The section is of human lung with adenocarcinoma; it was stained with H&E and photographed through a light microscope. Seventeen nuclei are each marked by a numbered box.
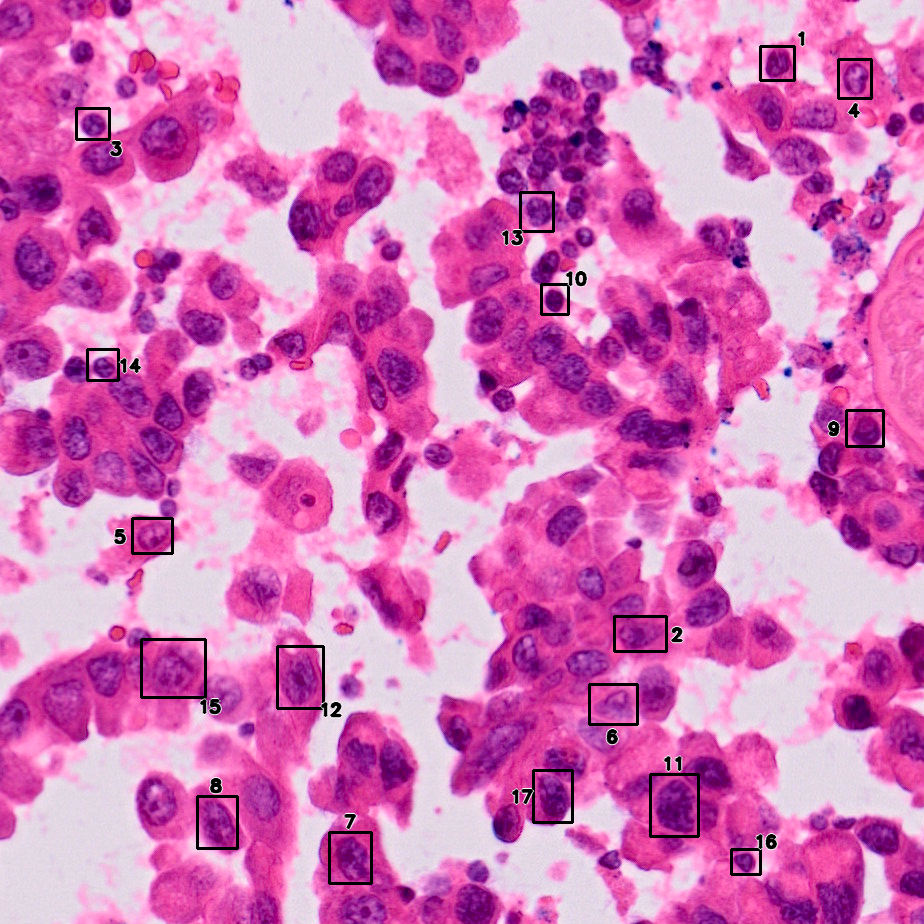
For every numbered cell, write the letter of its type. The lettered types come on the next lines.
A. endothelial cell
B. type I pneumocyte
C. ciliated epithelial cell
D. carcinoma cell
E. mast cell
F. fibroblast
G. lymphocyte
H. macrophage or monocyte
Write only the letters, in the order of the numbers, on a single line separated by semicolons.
H; D; G; H; H; D; D; D; D; G; D; D; G; G; D; G; D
